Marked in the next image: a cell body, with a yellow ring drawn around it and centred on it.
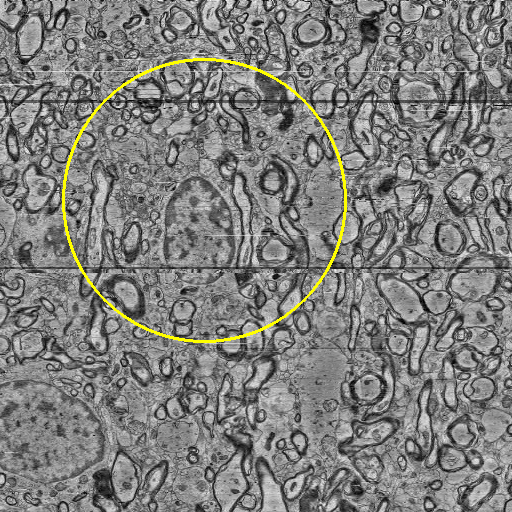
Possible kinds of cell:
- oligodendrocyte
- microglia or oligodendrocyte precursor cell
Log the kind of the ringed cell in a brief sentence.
The ringed cell body is that of a microglial cell or oligodendrocyte precursor cell.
